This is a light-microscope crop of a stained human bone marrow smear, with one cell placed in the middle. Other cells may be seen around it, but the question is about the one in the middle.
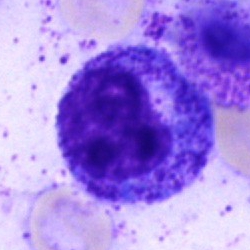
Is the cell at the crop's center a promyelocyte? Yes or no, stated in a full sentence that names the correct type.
Yes, the cell shown centrally is a promyelocyte.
